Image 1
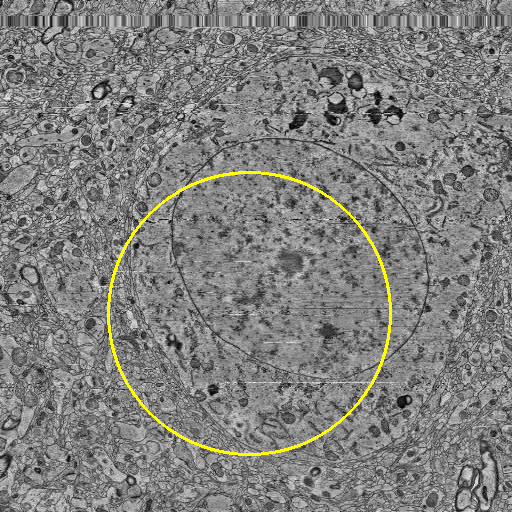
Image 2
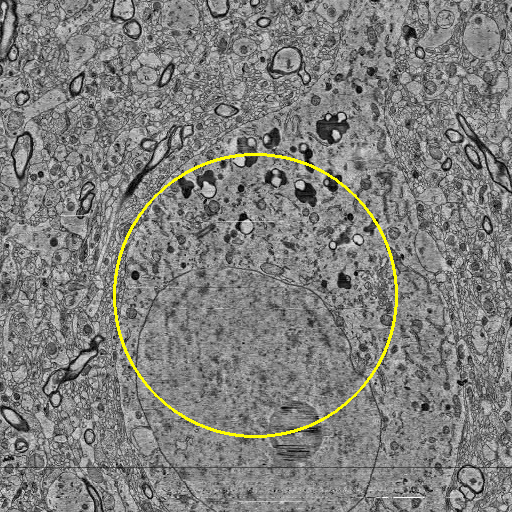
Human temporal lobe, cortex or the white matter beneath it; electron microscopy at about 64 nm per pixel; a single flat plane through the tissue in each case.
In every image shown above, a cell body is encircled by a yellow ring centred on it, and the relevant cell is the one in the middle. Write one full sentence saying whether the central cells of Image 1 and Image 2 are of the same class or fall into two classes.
The cell at the ring's centre in Image 1 and its counterpart in Image 2 are of the same class.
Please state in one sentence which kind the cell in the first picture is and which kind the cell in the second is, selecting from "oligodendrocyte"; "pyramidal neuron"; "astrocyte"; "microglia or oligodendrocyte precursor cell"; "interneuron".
Both pictures show a pyramidal neuron at the centre of the ring.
